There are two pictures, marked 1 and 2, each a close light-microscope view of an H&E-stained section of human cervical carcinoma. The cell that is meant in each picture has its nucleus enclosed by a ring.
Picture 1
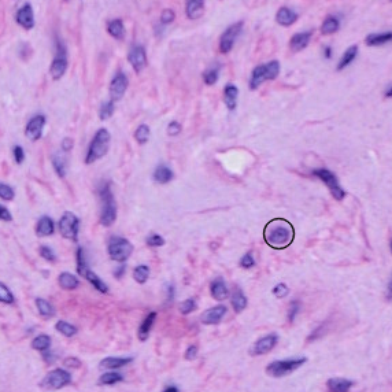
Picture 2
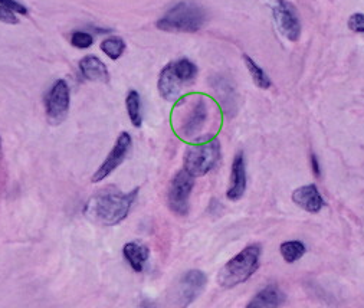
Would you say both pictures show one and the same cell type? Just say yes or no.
no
